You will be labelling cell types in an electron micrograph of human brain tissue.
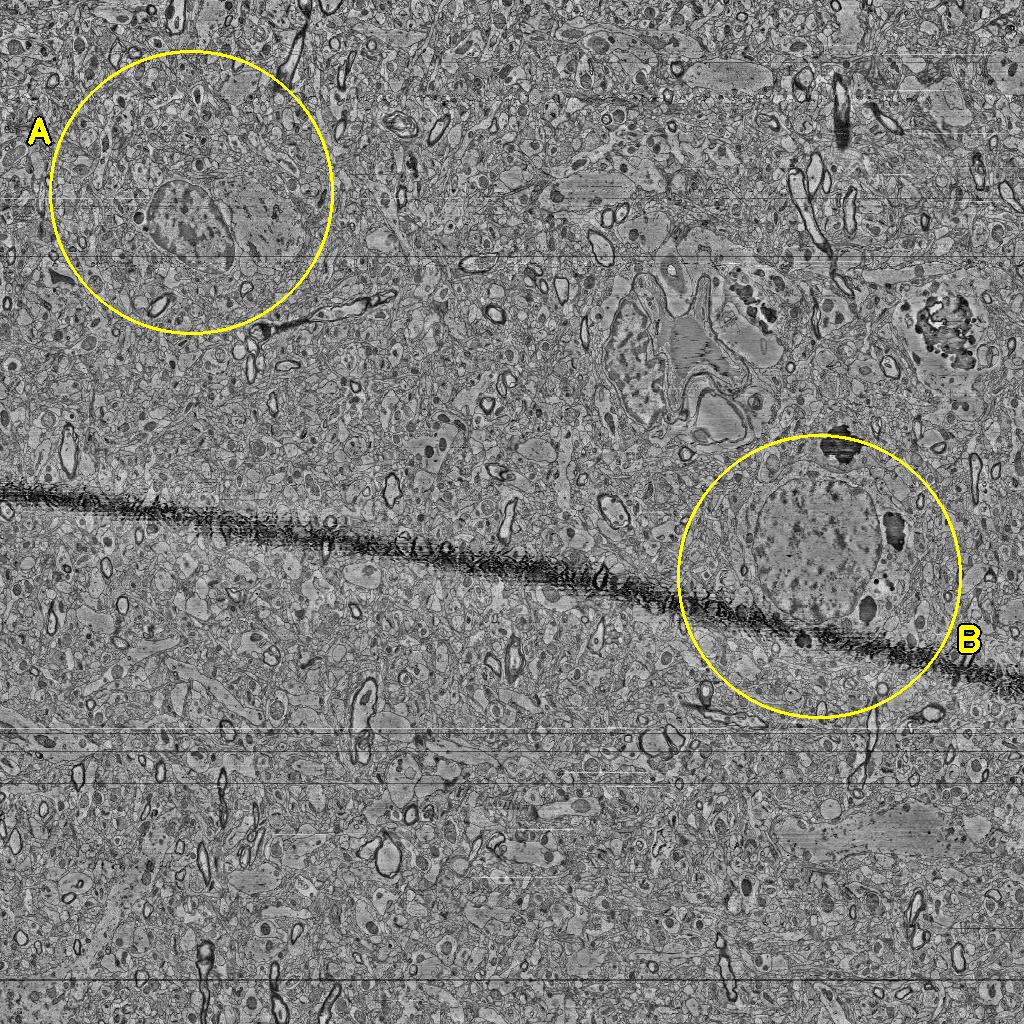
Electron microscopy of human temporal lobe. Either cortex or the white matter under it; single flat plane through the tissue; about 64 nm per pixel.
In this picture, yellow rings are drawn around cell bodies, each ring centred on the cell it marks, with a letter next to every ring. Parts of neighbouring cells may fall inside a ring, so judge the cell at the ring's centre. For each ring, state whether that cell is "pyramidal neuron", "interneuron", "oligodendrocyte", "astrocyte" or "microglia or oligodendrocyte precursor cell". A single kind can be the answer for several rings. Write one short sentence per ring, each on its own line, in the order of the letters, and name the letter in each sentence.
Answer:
Ring A contains a microglial cell or oligodendrocyte precursor cell at its centre.
Ring B contains an interneuron at its centre.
